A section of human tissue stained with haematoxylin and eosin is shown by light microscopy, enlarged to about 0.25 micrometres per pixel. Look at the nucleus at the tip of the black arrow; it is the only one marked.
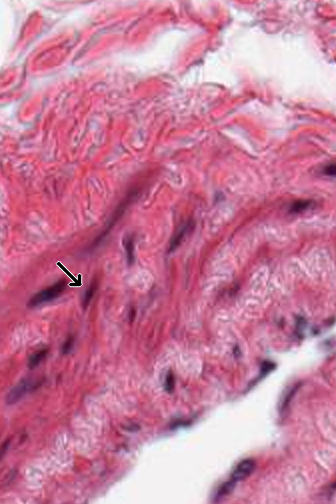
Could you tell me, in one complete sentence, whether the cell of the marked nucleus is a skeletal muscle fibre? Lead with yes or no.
No, the nucleus shown with the marker is not the nucleus of a skeletal muscle fibre.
